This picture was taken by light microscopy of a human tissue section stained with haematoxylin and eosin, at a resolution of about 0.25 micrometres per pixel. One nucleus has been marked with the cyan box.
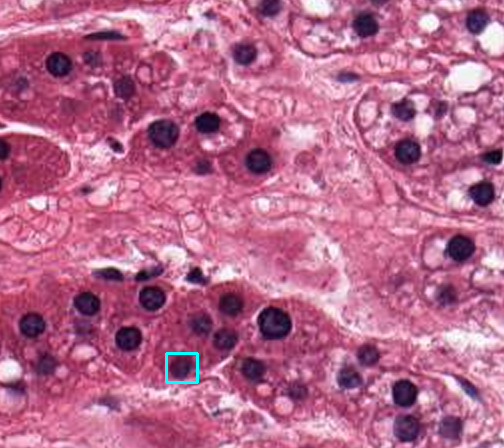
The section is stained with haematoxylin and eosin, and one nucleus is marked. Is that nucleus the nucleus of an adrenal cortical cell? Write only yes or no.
yes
